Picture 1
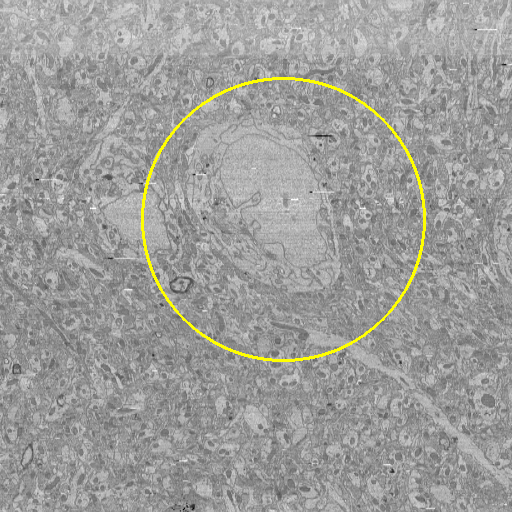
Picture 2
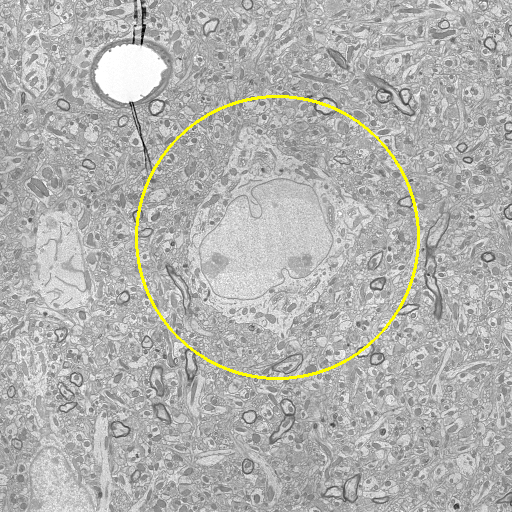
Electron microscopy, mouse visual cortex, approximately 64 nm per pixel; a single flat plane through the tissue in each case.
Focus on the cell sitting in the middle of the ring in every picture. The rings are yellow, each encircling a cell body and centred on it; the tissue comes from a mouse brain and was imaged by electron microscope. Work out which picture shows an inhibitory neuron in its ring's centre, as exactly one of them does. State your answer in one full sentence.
In picture 1, the ring is centred on the cell in question.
